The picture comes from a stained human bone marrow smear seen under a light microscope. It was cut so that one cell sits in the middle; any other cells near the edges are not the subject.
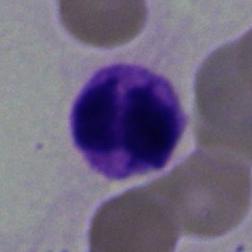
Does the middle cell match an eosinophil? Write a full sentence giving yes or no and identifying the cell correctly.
No, not an eosinophil but a basophil is the cell in the centre.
